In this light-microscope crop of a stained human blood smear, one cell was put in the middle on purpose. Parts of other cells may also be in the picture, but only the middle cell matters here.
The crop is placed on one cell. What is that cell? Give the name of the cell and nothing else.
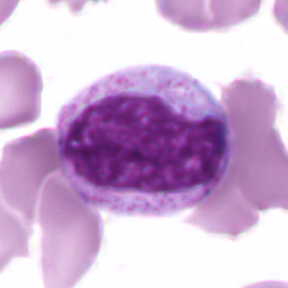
metamyelocyte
